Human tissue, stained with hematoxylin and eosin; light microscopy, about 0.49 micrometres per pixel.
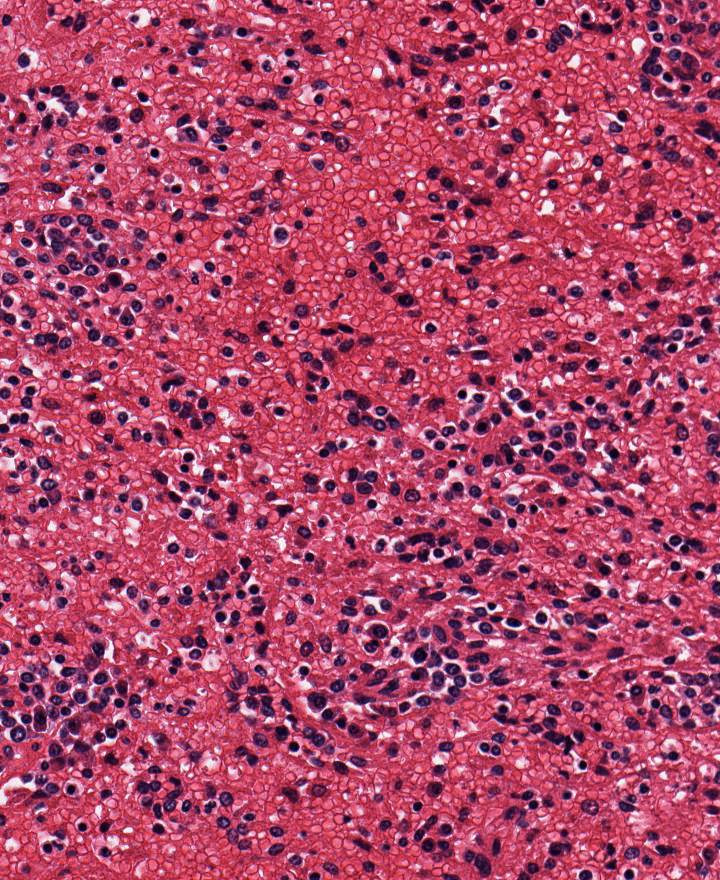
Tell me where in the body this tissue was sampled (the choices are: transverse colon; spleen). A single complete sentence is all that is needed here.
The origin of this tissue is the spleen.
